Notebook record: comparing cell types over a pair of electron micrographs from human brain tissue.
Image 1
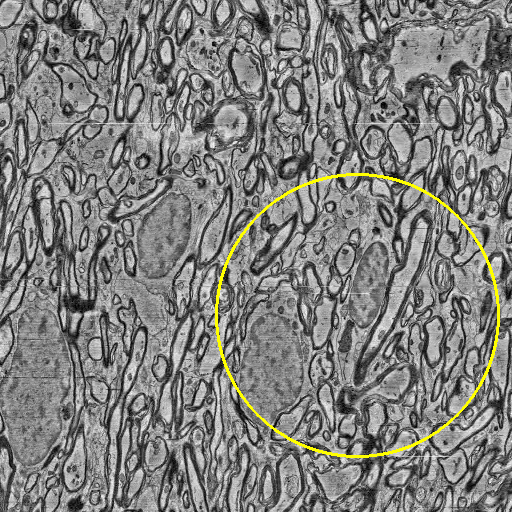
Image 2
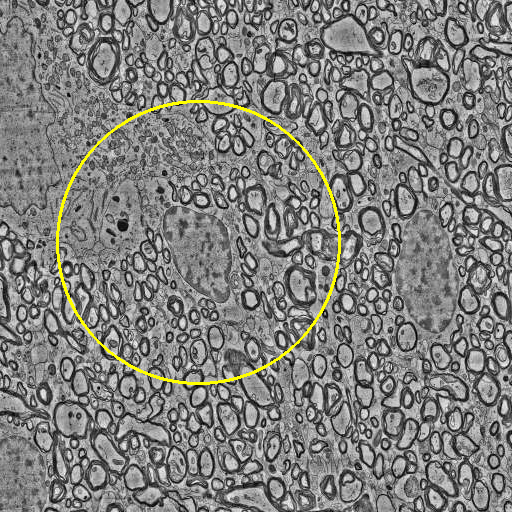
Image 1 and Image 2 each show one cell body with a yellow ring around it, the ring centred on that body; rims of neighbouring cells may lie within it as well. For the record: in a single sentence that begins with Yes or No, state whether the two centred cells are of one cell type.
Yes, one cell type is shared by the centred cells of Image 1 and Image 2.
